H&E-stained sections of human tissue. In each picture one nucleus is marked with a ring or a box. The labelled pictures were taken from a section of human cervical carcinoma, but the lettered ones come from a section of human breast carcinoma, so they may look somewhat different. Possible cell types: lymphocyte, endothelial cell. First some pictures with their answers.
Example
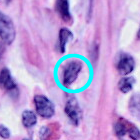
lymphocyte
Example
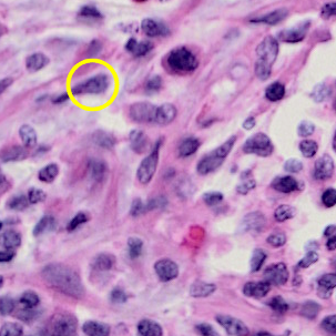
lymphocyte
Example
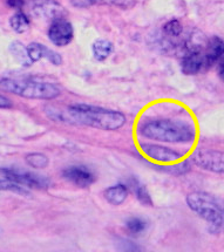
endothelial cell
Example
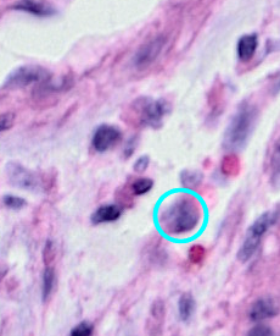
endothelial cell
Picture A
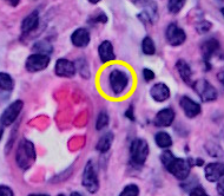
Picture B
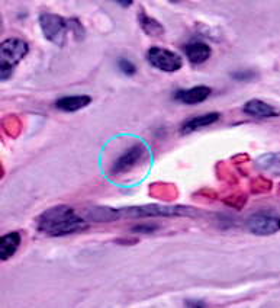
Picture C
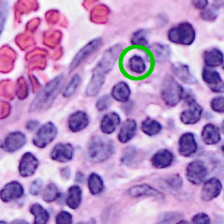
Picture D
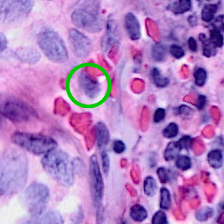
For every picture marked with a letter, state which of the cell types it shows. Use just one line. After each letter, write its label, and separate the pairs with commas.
A lymphocyte, B endothelial cell, C lymphocyte, D endothelial cell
